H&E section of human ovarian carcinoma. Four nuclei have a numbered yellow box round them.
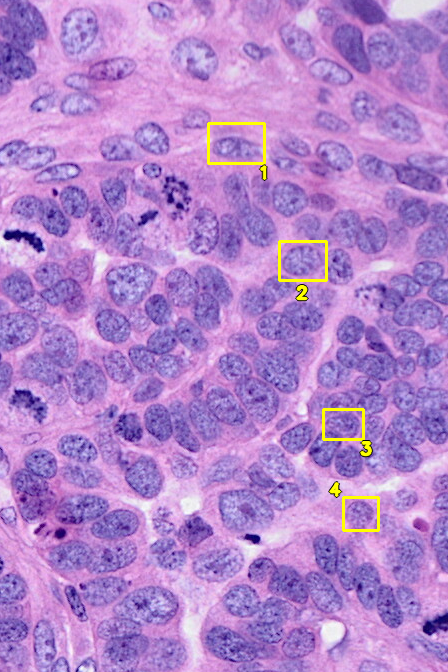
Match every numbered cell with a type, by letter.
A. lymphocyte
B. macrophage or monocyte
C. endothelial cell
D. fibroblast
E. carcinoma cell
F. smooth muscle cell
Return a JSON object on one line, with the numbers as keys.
{"1": "D", "2": "E", "3": "E", "4": "E"}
